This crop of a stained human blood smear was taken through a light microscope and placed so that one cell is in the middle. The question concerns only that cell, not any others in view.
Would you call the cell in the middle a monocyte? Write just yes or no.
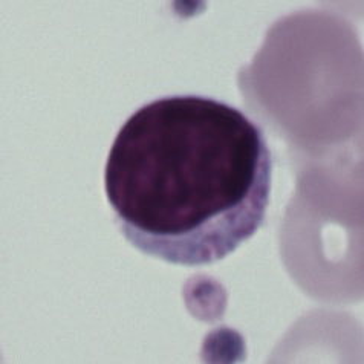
no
